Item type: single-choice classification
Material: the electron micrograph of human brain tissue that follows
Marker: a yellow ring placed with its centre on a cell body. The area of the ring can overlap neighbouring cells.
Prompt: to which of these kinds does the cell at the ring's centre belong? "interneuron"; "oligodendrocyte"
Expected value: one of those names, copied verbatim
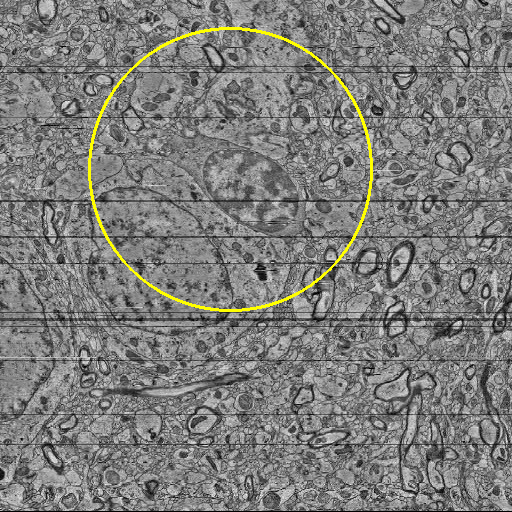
oligodendrocyte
